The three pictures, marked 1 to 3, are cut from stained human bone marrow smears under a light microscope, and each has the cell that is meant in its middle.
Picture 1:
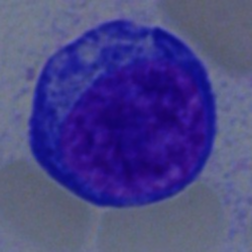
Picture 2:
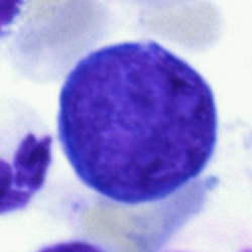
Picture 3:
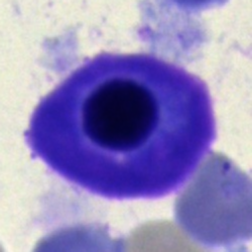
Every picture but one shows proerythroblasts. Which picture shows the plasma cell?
3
